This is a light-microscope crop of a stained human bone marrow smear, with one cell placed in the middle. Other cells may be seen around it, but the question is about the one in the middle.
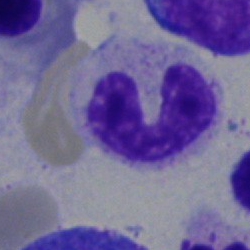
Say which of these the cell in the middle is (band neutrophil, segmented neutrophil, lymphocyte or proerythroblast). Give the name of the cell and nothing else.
band neutrophil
